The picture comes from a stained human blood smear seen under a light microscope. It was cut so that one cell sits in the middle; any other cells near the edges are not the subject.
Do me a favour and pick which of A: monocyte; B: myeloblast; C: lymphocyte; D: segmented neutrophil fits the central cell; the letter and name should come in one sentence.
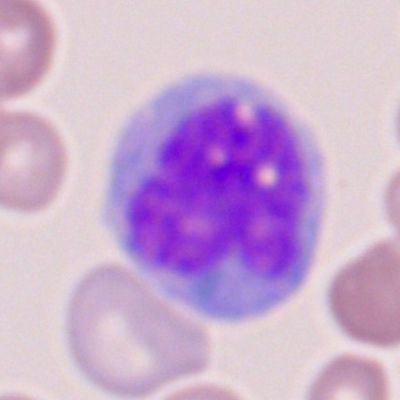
Since the cell in the middle is a monocyte, option A is correct.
